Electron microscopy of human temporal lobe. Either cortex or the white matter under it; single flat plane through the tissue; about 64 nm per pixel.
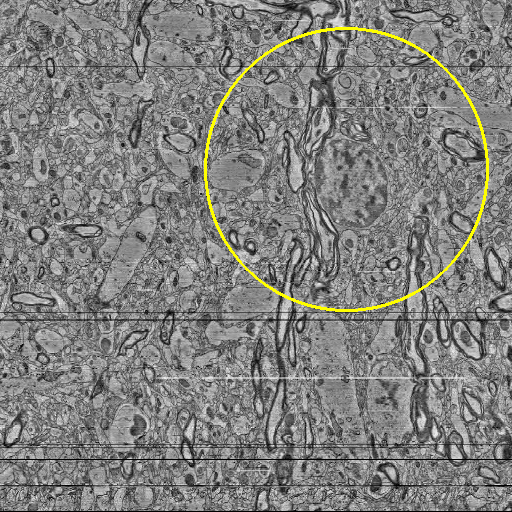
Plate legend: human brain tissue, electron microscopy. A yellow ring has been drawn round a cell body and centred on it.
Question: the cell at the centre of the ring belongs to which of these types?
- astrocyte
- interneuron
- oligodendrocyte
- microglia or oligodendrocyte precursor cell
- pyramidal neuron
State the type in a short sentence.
The cell in the middle of the ring is an oligodendrocyte.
